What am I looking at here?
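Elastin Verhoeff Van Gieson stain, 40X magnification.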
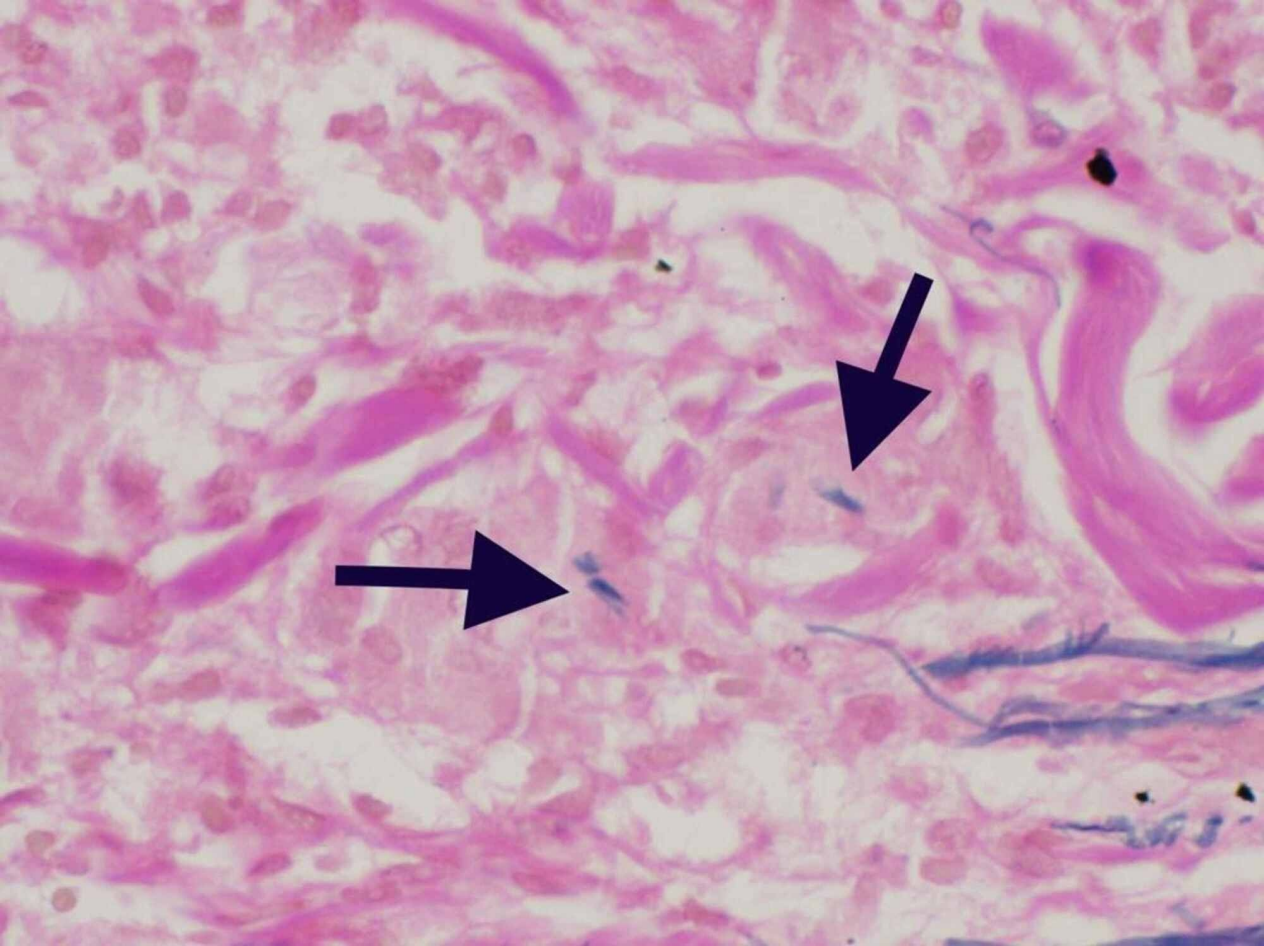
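This is connective tissue with giant cells that have taken up fibres. Thick, wavy, deep pink bundles of collagen run through the field, especially at the right. Between them lie many pale pink, rounded to oval nuclei and broad, pale cytoplasm, belonging to large cells. Near the centre, short blue-violet fragments sit inside this pale cytoplasm, set apart from the pink bundles. Longer, thin, wavy blue-violet fibres lie free in the tissue at the lower right. The fragments inside the cells have the same colour as these free fibres, so the cells appear to have engulfed pieces of them.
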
